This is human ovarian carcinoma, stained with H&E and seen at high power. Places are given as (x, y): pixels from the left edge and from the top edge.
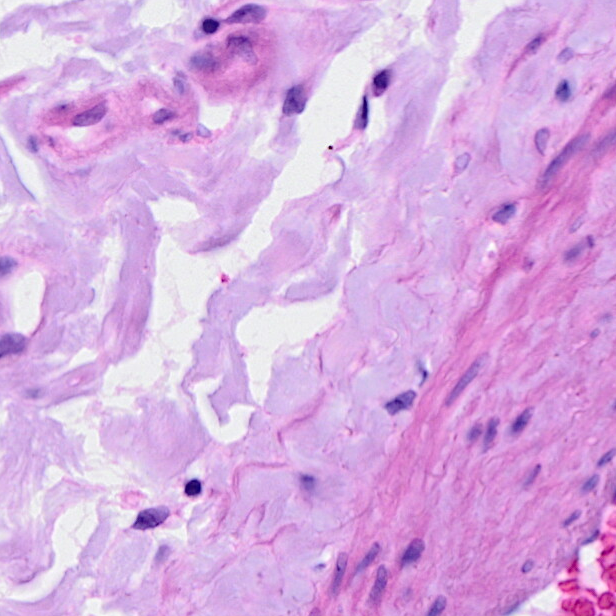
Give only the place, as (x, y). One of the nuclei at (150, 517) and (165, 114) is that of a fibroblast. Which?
(150, 517)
